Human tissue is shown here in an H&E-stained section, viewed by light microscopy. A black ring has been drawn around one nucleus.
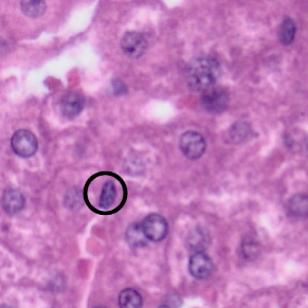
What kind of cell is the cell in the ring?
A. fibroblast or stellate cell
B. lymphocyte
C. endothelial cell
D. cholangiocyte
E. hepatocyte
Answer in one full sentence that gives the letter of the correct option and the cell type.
Here the cell in the ring is a fibroblast or stellate cell; pick option A.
